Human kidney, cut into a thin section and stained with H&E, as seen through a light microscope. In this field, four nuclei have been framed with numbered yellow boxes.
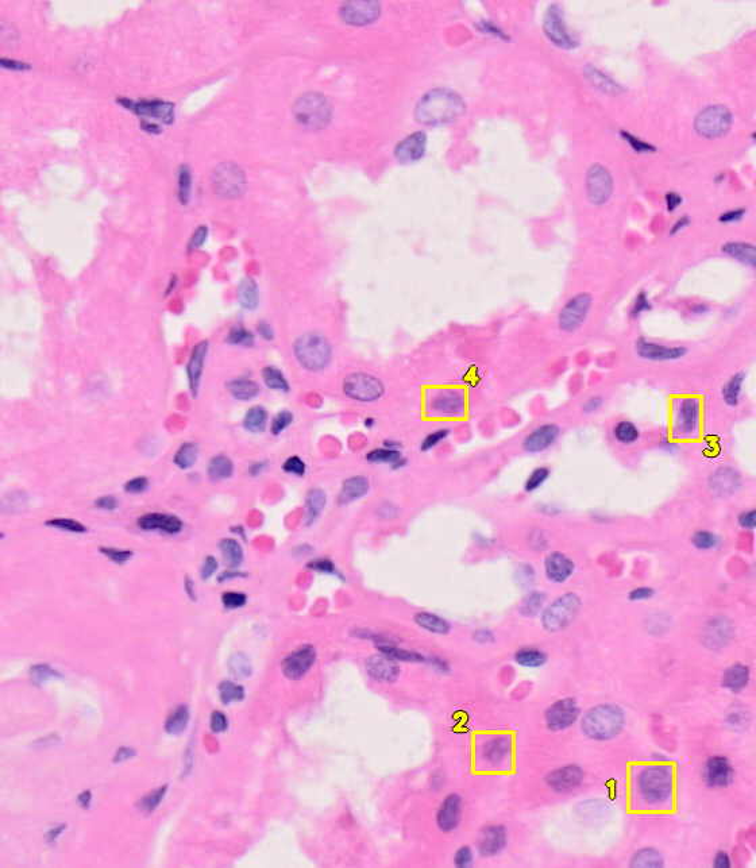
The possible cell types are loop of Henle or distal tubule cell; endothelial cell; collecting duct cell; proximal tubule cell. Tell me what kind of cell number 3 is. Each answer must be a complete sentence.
The cell bearing label 3 corresponds to a loop of Henle or distal tubule cell.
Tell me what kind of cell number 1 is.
The nucleus labeled 1 belongs to a proximal tubule cell.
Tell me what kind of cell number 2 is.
The cell indicated with the number 2 is classed as a proximal tubule cell.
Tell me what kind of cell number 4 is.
The cell marked with the number 4 is a proximal tubule cell.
